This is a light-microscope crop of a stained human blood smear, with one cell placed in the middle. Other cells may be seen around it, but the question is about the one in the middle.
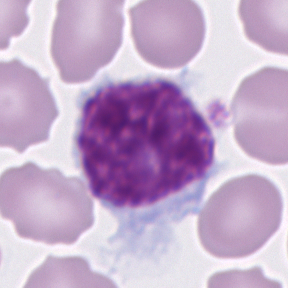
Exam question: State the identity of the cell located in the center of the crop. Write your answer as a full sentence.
The cell of interest, in the center, is a hairy cell.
